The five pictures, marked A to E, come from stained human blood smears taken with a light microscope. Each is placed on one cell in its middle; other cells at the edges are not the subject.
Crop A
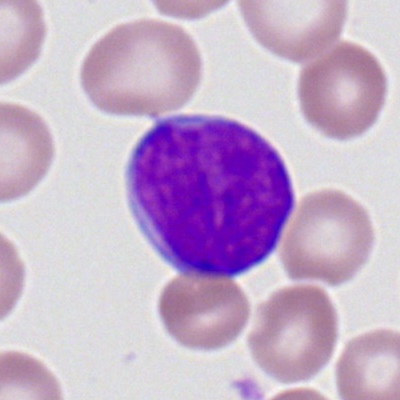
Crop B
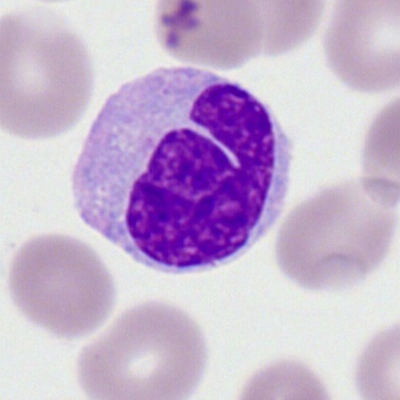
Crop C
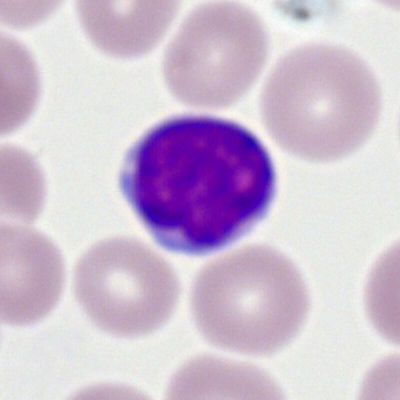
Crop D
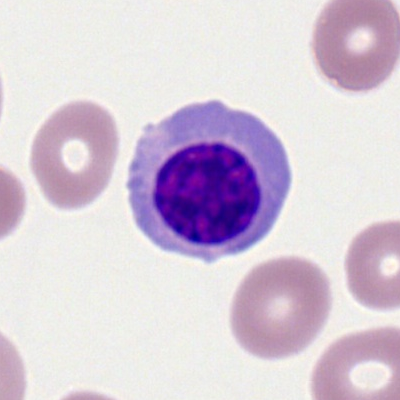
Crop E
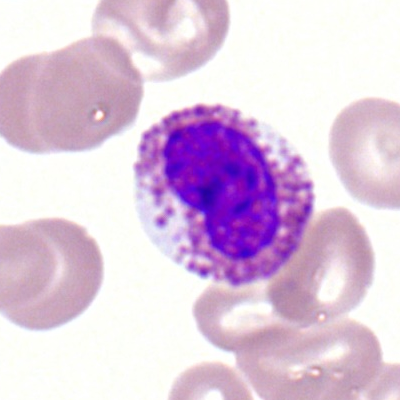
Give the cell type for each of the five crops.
A: myeloblast
B: monocyte
C: lymphocyte
D: erythroblast
E: eosinophil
